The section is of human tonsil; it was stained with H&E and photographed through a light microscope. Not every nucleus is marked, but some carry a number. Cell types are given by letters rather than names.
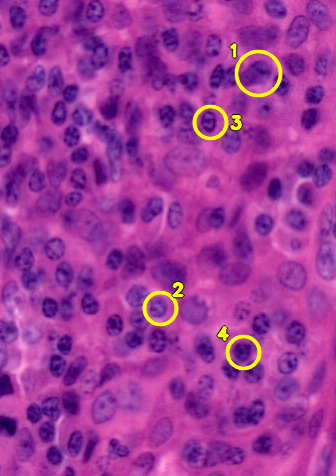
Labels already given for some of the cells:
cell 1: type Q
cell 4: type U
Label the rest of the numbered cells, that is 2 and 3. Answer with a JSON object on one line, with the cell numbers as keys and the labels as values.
{"2": "type Q", "3": "type U"}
